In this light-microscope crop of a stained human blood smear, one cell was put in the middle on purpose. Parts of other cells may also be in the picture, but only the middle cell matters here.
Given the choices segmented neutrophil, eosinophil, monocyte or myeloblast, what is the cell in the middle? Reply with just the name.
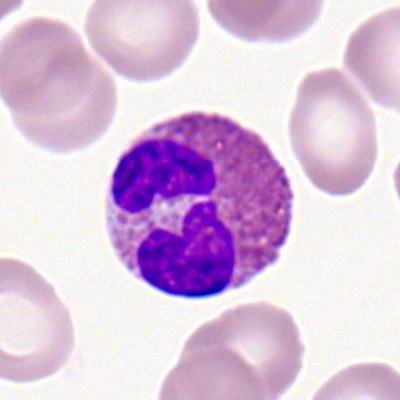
eosinophil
